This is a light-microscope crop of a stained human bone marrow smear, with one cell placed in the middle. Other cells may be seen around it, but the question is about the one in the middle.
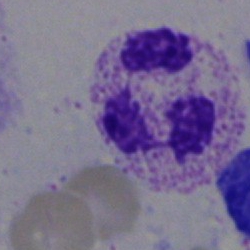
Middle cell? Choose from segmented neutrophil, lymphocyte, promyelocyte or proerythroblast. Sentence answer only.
The cell in the middle of the field of view is a segmented neutrophil.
